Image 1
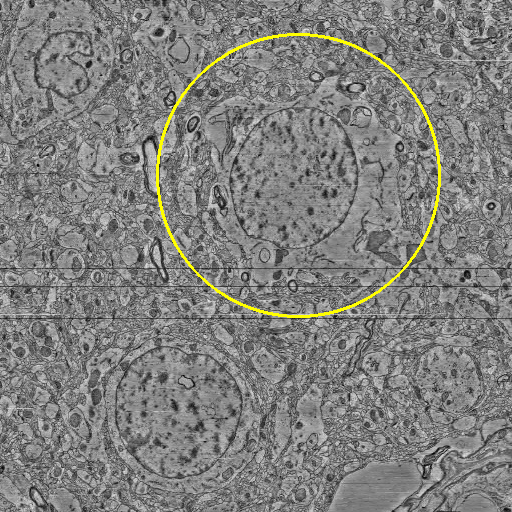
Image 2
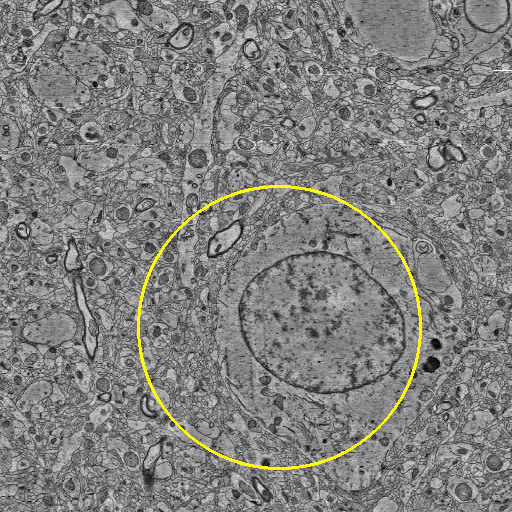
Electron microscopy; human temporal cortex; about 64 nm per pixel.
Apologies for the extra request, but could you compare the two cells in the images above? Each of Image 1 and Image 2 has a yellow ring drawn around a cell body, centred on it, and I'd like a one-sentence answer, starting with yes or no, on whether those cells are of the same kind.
No, the two cells are of two kinds.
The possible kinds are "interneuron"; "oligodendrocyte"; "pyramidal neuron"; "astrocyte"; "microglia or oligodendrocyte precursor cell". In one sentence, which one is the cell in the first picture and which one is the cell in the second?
The cell ringed in the second picture is a pyramidal neuron, whereas the one ringed in the first is an astrocyte.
